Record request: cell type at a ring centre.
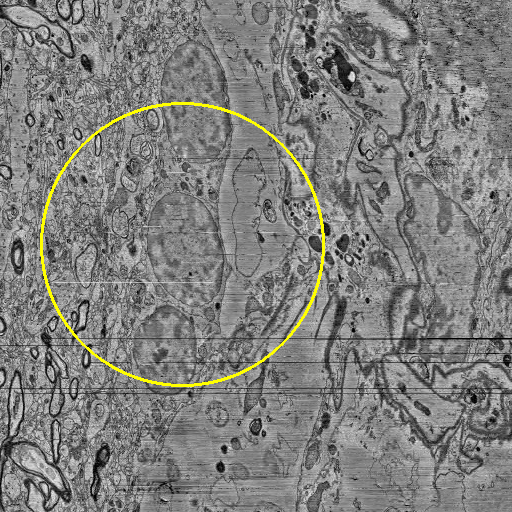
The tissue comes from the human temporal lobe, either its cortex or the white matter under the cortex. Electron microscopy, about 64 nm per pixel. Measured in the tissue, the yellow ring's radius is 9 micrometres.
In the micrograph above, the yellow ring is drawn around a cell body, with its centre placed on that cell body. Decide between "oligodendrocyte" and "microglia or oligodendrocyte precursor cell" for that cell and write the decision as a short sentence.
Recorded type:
The cell centred in the yellow ring is an oligodendrocyte.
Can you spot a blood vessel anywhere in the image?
Yes, one shows.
